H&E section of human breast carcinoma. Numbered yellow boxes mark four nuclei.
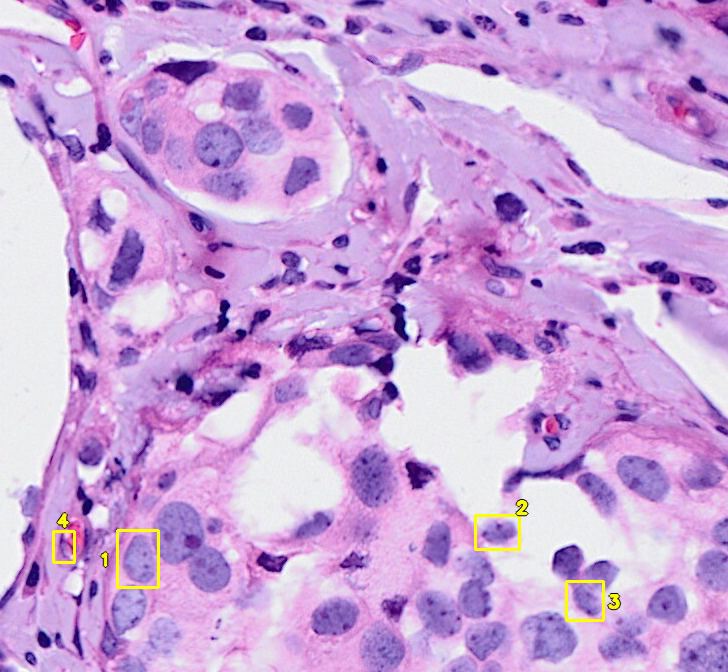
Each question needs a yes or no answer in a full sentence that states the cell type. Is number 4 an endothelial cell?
Yes, the nucleus numbered 4 belongs to an endothelial cell.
